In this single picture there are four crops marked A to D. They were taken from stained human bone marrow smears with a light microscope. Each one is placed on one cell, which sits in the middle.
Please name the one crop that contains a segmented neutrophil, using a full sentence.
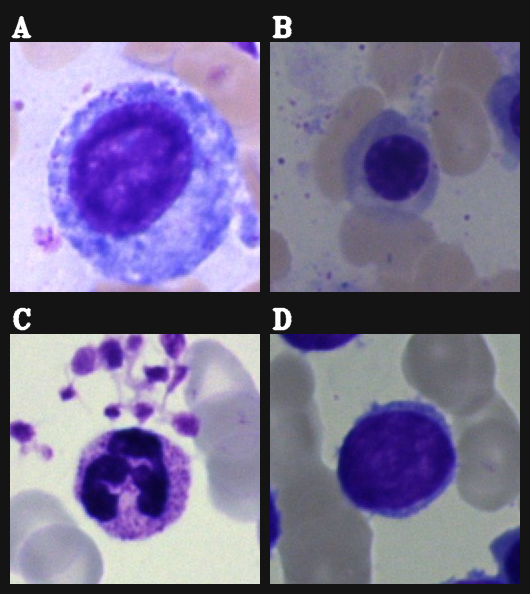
That would be crop C; it shows a segmented neutrophil.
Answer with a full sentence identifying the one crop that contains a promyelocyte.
As for which crop shows a promyelocyte, it is crop A.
